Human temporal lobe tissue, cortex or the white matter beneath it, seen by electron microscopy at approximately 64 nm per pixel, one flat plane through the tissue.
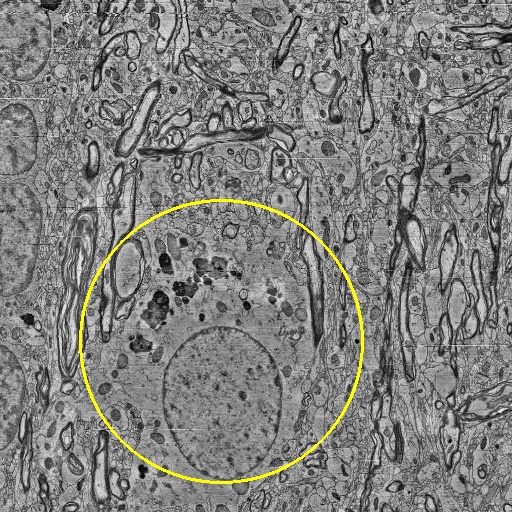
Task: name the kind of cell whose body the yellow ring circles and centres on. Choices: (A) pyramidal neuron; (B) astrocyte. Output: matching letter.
B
